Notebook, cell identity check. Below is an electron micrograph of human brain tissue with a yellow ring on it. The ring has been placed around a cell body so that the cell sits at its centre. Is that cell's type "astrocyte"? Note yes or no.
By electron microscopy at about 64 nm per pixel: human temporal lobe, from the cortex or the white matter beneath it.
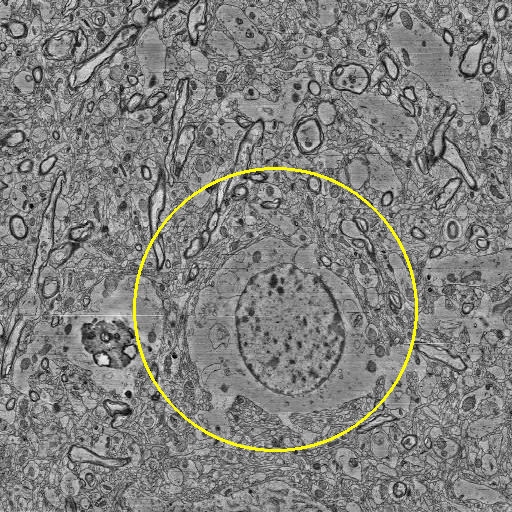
Yes, that is its cell type.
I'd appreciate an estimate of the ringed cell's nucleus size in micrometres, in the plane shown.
The ringed cell's nucleus measures approximately 9 by 7 micrometres in this plane.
